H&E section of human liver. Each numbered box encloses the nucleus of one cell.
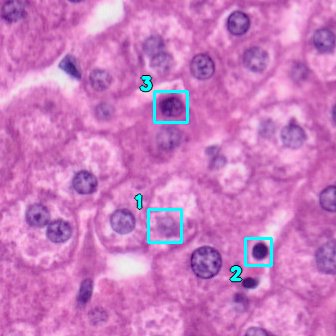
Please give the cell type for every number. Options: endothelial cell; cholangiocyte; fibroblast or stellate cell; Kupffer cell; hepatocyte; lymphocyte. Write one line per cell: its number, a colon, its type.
1: hepatocyte
2: lymphocyte
3: Kupffer cell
